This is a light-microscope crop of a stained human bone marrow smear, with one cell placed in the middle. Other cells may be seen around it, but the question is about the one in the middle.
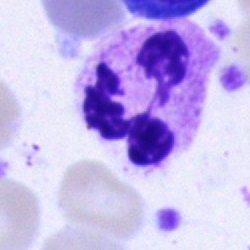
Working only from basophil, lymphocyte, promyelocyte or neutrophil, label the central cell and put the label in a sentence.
In short, the cell at the center is a neutrophil.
